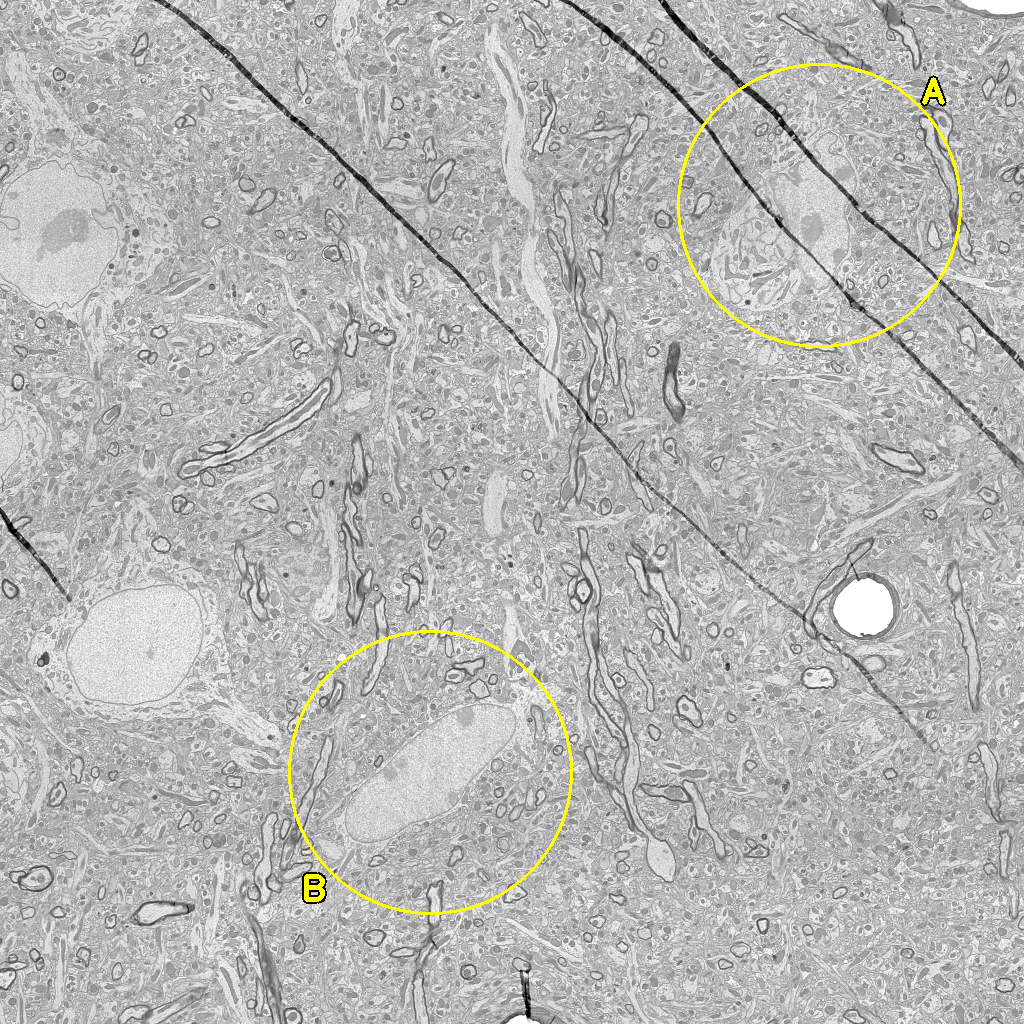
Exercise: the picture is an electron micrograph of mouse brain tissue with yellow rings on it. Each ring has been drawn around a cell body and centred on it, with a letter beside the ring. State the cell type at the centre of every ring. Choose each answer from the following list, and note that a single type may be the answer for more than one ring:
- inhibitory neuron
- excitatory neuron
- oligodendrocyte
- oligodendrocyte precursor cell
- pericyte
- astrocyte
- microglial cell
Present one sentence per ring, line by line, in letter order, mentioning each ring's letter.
Ring A shows an oligodendrocyte precursor cell at its centre.
Ring B shows an astrocyte at its centre.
